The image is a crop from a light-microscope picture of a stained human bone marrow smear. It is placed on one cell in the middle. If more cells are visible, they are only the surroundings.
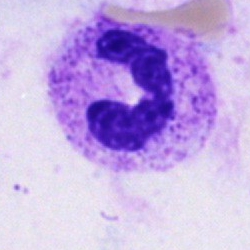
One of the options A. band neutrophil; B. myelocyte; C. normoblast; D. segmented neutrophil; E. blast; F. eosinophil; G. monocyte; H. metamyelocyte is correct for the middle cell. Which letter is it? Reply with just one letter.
D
